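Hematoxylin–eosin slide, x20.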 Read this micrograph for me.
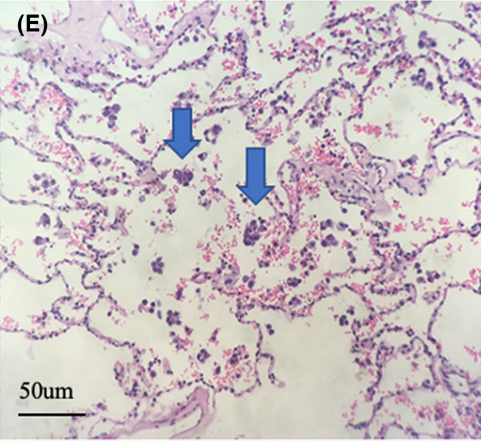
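Lung tissue with a lace-like network of thin pink alveolar walls encloses open air spaces, within which small free-floating clusters of tumor cells are seen. The clusters are rounded and lobulated, made of a few crowded cells with dark purple nuclei and little cytoplasm. They lie detached from the walls, scattered through several neighbouring air spaces. Many red blood cells fill parts of the air spaces around the clusters. The alveolar walls themselves are thin and delicate, without a solid tumor mass in view.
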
